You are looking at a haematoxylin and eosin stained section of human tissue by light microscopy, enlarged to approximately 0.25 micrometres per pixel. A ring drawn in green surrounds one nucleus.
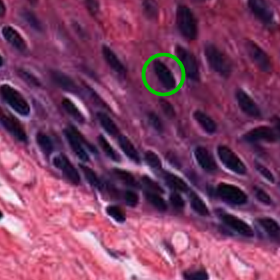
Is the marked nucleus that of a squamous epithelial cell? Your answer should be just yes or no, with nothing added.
yes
